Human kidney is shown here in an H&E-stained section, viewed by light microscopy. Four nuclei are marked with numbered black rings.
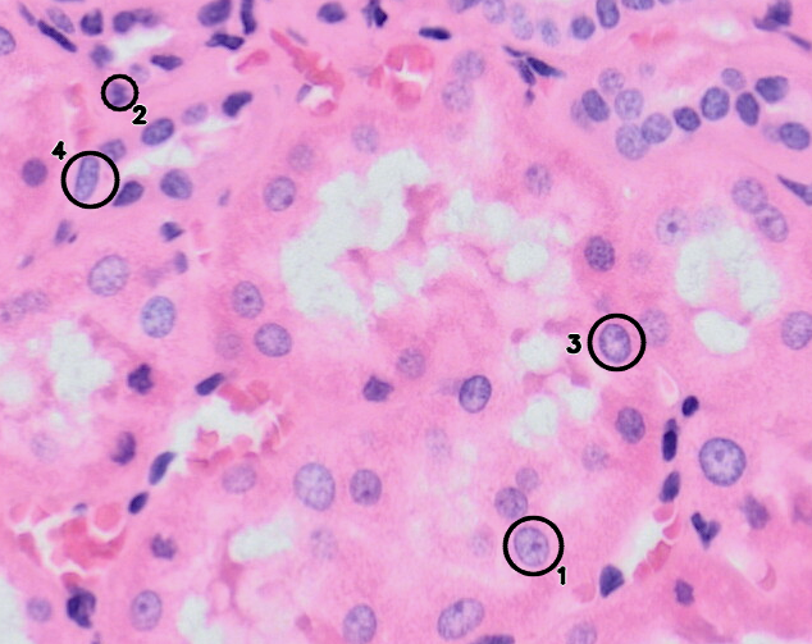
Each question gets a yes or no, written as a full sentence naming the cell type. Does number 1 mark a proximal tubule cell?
Yes, the cell referred to as number 1 is a proximal tubule cell.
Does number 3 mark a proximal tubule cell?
Yes, as for number 3, the cell is a proximal tubule cell.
